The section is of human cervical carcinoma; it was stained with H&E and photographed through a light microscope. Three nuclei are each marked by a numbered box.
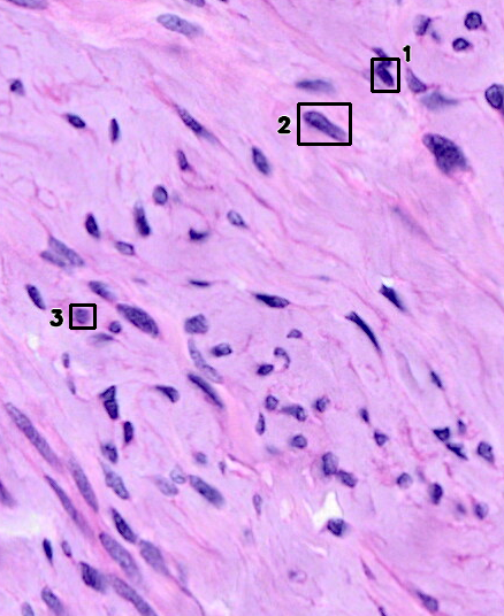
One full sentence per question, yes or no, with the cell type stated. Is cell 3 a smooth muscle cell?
Yes, in this section the cell with number 3 is a smooth muscle cell.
